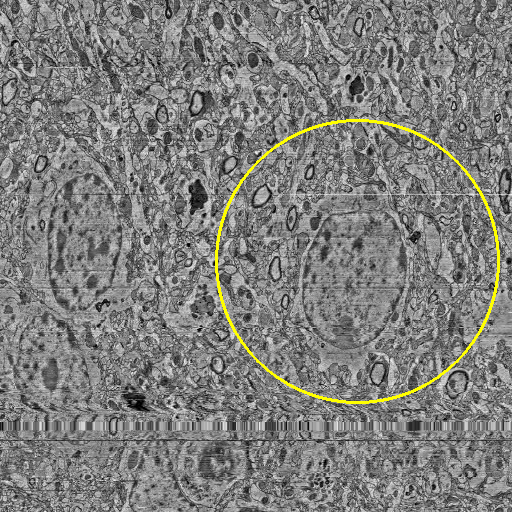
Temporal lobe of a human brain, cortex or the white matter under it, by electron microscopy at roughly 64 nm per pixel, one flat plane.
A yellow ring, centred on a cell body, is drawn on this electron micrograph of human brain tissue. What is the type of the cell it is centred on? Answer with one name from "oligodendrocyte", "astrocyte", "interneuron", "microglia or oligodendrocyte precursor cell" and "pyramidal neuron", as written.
astrocyte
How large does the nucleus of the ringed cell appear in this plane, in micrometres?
About 9 by 6 micrometers for the nucleus, in this plane.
